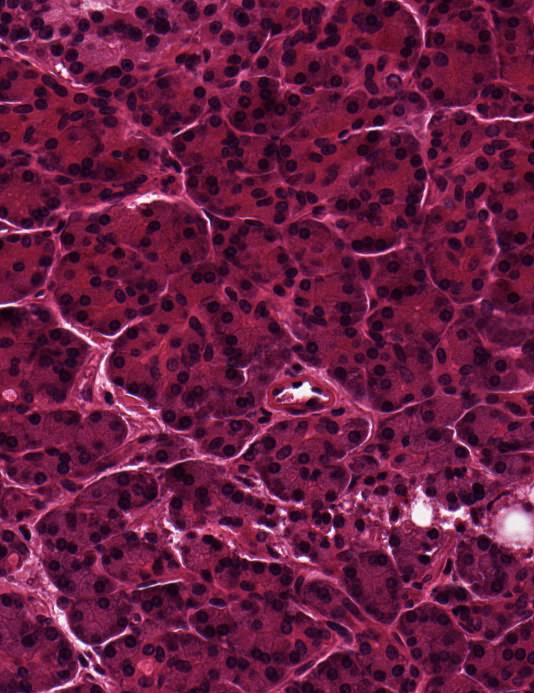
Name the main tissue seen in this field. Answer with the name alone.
exocrine pancreas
